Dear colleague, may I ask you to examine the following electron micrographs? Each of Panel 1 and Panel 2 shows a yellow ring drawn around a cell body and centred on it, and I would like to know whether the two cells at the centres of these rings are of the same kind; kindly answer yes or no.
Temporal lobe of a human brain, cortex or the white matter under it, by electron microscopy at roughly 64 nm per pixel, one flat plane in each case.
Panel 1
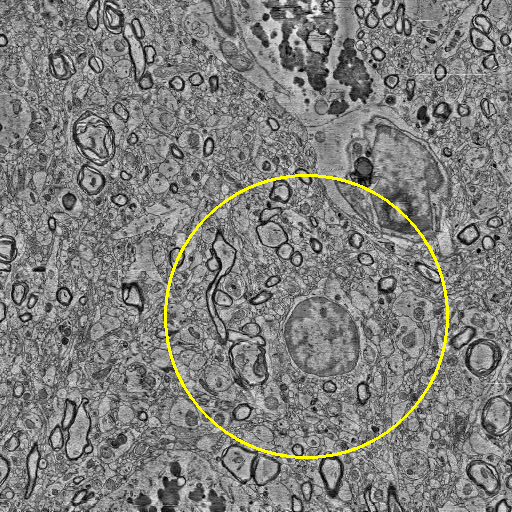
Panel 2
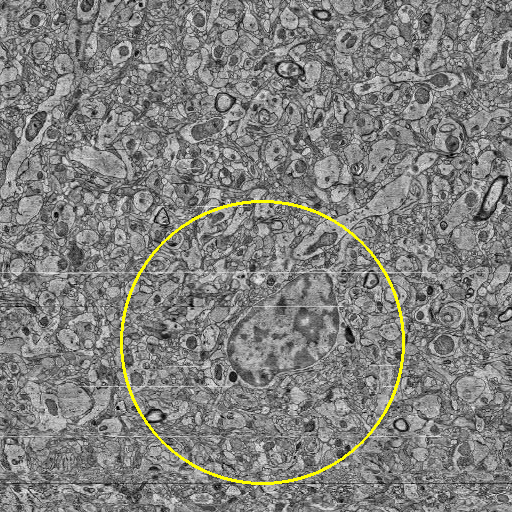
yes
